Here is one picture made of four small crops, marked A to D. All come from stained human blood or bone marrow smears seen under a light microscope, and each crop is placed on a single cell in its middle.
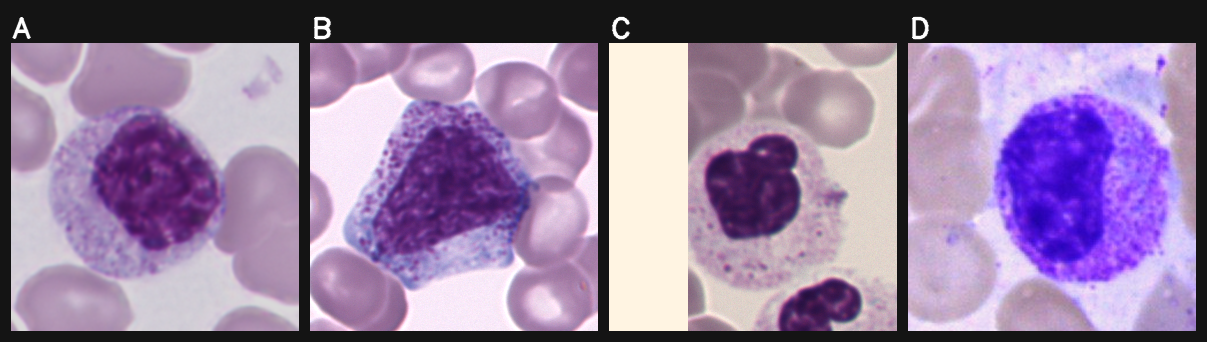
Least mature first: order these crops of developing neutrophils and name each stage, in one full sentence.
Ordered from the youngest stage to the most mature, the crops are crop B (a promyelocyte), crop A (a myelocyte), crop D (a metamyelocyte) and crop C (a segmented neutrophil).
